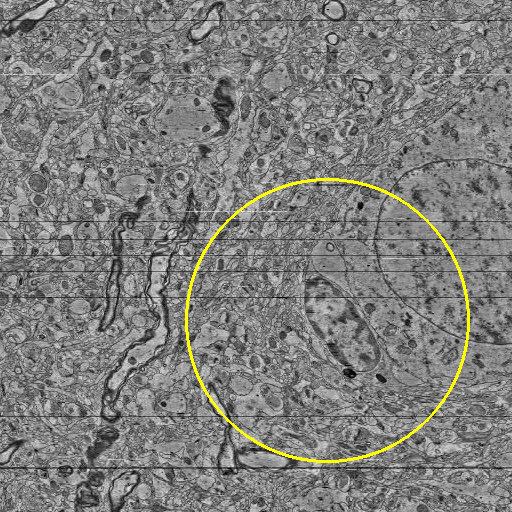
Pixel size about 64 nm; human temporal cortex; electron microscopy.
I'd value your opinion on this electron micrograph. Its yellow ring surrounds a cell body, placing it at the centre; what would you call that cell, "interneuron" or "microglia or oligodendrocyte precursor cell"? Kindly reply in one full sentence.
It is a microglial cell or oligodendrocyte precursor cell that sits centred within the yellow ring in this micrograph.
